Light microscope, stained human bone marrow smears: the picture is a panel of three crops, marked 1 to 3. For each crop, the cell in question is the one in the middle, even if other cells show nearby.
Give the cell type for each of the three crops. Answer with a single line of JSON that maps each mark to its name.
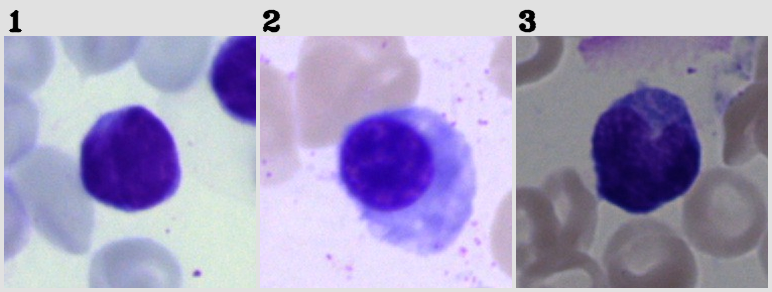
{"1": "lymphocyte", "2": "erythroblast", "3": "lymphocyte"}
